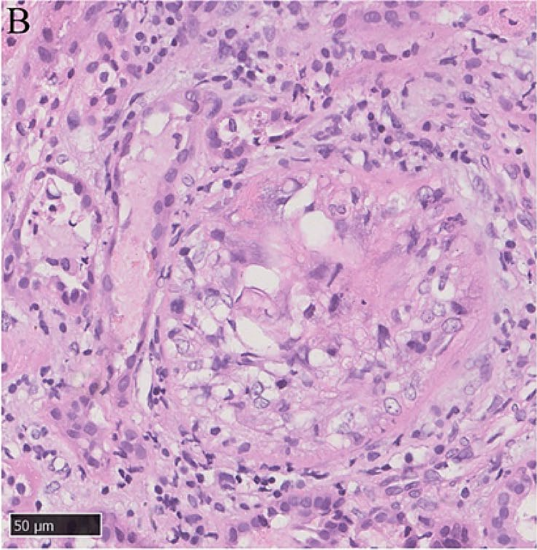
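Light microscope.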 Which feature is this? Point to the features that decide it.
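A glomerulus is encircled by layers of plump cells filling the space around the tuft. The glomerular tuft is compressed and disorganised. The crescent is cellular rather than fibrous, with many nuclei. The answer: Cellular crescent.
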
